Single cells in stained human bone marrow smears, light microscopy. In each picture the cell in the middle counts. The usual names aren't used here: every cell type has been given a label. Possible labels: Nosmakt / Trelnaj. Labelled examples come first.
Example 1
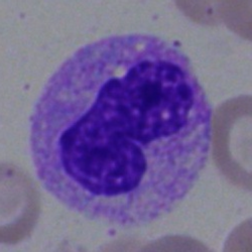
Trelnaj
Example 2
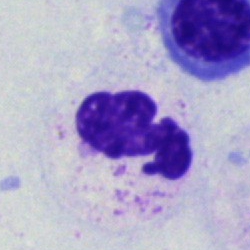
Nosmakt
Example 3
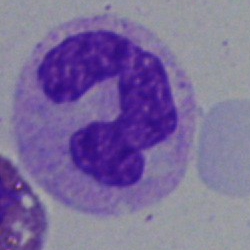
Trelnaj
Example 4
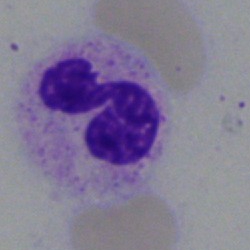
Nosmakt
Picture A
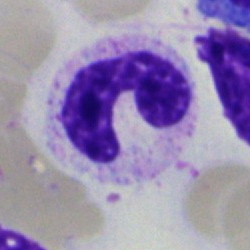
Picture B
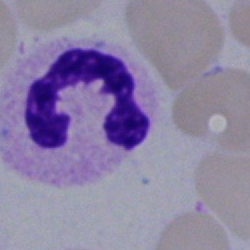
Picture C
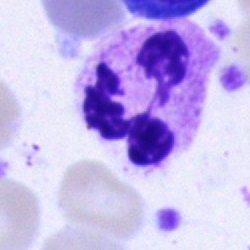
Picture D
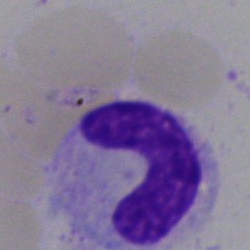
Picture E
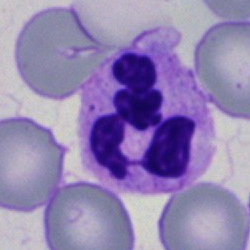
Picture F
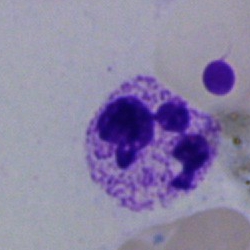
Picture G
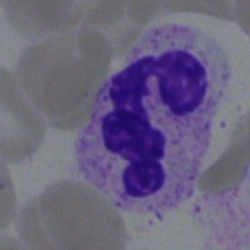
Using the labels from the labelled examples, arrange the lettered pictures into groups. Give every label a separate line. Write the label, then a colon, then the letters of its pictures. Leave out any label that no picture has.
Nosmakt: B, C, E, F, G
Trelnaj: A, D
